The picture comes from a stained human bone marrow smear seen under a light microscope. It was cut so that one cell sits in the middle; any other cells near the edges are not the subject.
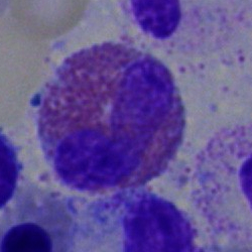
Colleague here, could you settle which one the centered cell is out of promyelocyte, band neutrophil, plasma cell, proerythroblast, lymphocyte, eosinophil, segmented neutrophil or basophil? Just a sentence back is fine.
In the middle of this smear crop is an eosinophil.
